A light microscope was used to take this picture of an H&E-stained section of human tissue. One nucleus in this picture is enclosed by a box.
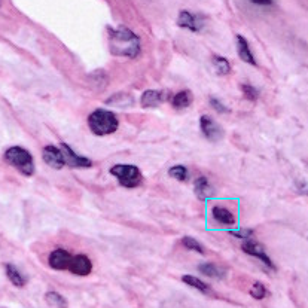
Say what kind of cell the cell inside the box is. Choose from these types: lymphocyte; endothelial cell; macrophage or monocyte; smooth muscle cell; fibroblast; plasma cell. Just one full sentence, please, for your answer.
Within this tissue, the cell inside the box is a smooth muscle cell.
